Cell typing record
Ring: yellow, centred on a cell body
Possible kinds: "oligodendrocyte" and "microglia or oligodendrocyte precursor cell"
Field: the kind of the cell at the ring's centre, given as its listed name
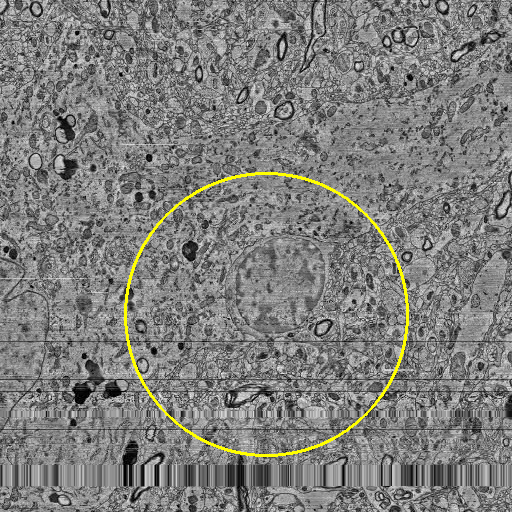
oligodendrocyte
